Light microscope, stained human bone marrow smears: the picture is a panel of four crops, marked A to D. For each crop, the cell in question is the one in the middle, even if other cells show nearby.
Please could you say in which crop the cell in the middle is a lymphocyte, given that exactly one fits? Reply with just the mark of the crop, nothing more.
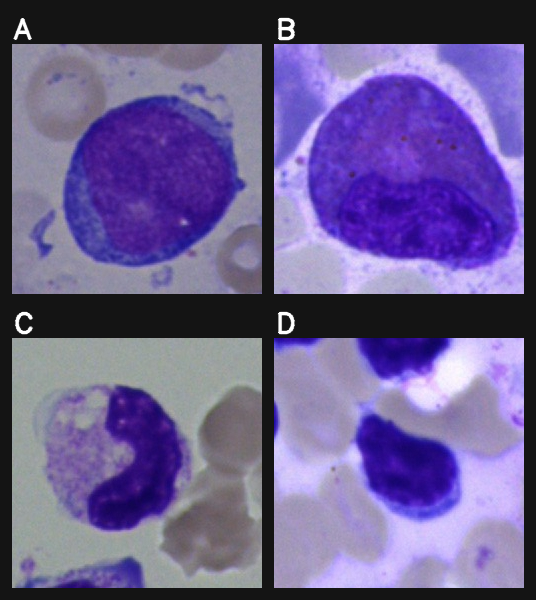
D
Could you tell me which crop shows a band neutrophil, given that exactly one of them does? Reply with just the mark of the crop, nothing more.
C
